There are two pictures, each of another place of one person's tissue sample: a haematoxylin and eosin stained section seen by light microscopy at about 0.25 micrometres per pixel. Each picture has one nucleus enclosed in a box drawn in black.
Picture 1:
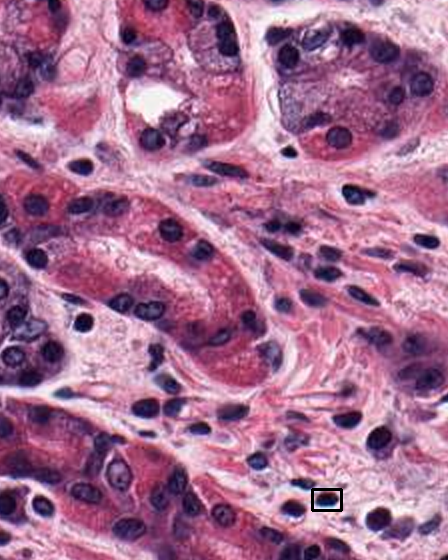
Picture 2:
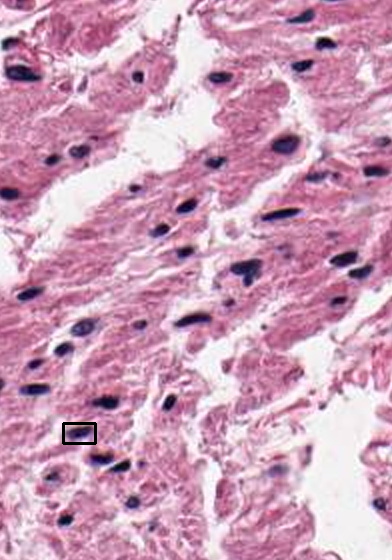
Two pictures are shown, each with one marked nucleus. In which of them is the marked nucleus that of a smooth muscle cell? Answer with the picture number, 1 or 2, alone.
2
